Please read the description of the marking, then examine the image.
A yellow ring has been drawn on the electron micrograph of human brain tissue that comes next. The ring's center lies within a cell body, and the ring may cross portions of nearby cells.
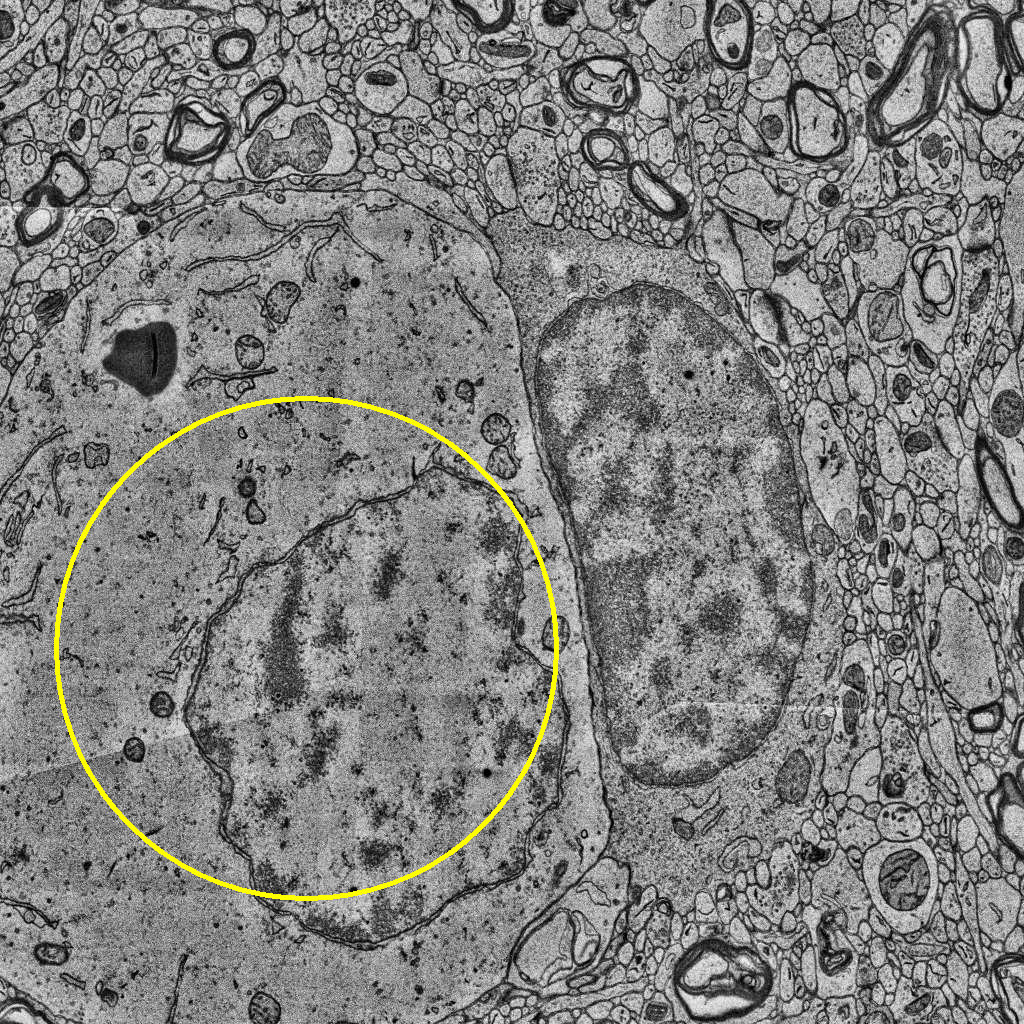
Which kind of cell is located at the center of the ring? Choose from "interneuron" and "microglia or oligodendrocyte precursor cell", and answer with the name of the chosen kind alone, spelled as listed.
interneuron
